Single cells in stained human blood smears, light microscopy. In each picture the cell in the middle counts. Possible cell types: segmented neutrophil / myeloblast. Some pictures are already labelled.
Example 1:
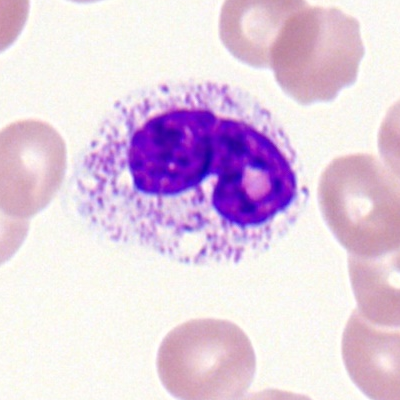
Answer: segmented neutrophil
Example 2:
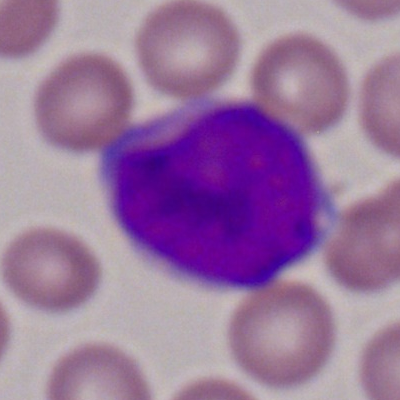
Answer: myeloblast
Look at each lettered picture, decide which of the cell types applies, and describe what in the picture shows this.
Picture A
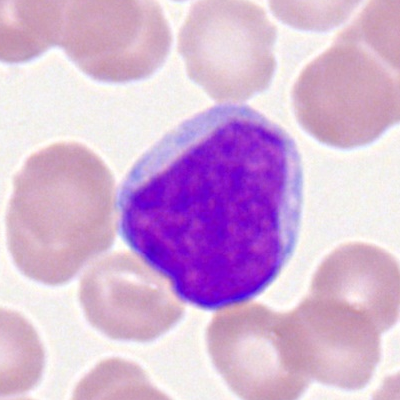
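myeloblast. Reason: The nucleus fills almost all of the cell.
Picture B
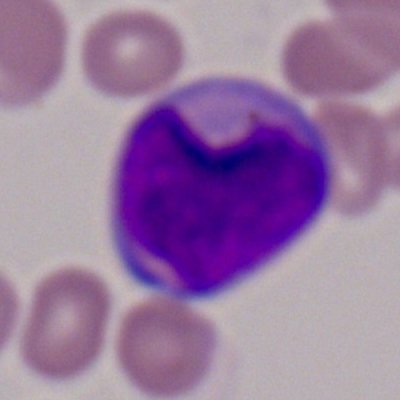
myeloblast. Reason: The nucleus fills most of the cell.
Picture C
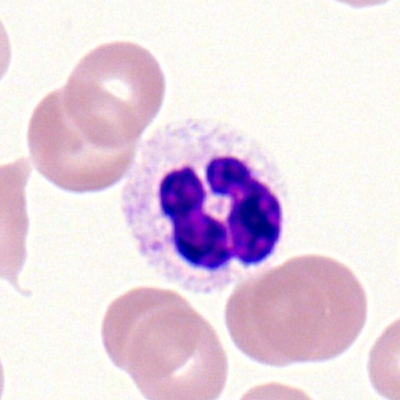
segmented neutrophil. Reason: The cytoplasm is pale pink-lilac rather than blue.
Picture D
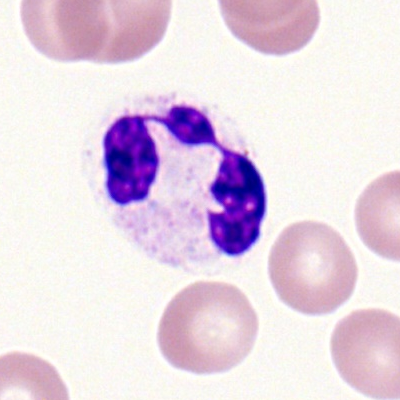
segmented neutrophil. Reason: The nucleus is split into three distinct lobes.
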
